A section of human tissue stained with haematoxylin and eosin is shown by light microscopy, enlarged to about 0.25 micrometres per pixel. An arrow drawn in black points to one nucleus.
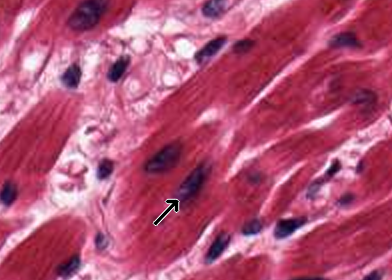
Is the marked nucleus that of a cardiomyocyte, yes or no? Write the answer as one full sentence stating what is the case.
Yes, the marked nucleus belongs to a cardiomyocyte.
